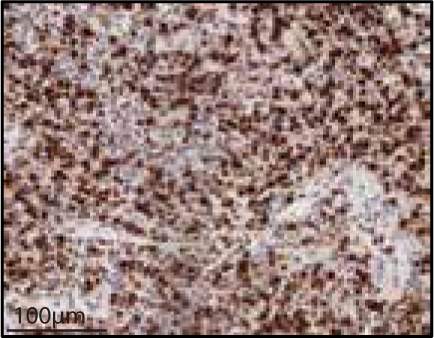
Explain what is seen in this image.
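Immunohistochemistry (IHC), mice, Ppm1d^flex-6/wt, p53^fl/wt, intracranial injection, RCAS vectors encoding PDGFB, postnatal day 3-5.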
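Densely cellular brain tumor in which most nuclei are stained dark brown. The cells are crowded with little intervening tissue, and a paler, less cellular streak crosses the right side.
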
